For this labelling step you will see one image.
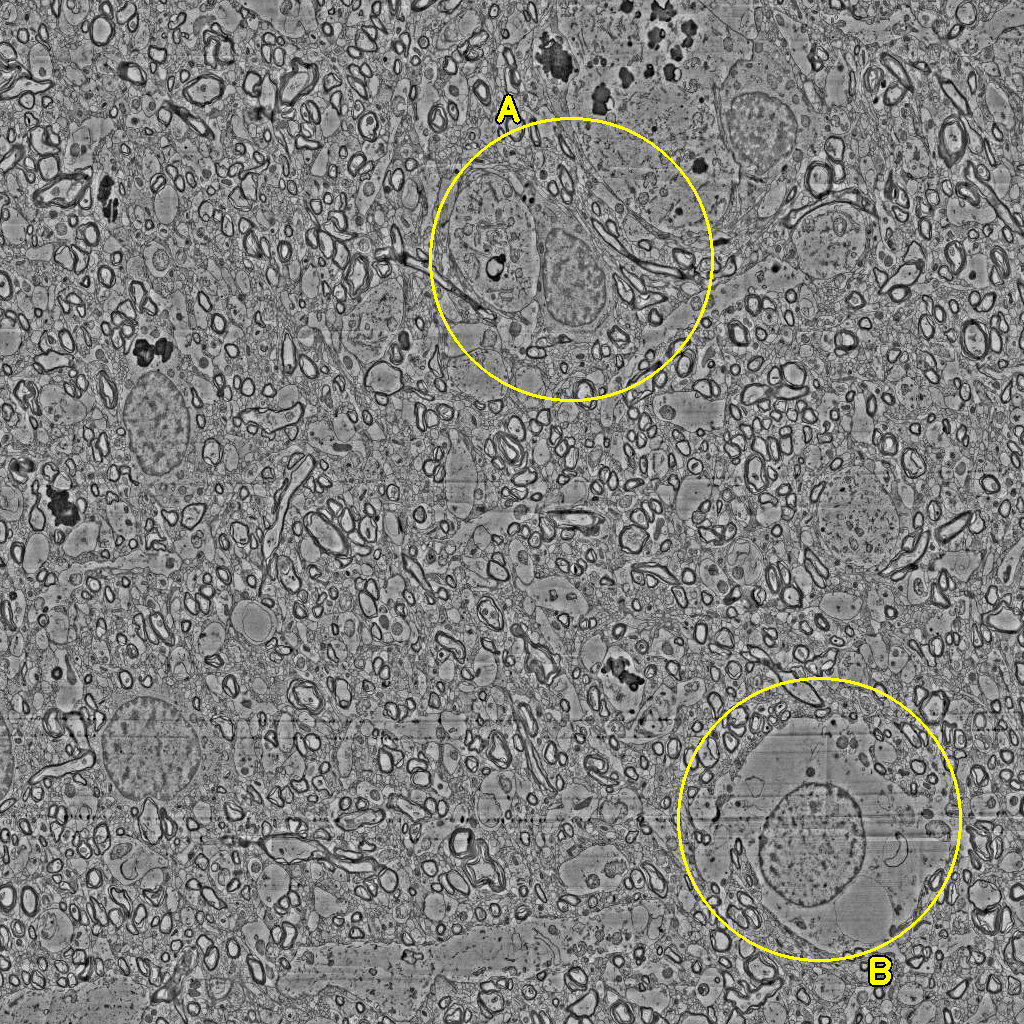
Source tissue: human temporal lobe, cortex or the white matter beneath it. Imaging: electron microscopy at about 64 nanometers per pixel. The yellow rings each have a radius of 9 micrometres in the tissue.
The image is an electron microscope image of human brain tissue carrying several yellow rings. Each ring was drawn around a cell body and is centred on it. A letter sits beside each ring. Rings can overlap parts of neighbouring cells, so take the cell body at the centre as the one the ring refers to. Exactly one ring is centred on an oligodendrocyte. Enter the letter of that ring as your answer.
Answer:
A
